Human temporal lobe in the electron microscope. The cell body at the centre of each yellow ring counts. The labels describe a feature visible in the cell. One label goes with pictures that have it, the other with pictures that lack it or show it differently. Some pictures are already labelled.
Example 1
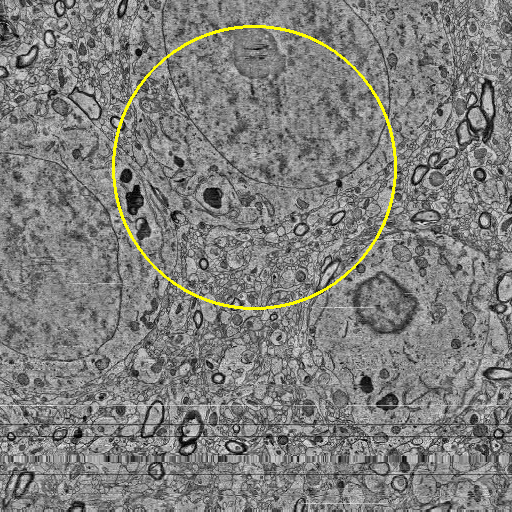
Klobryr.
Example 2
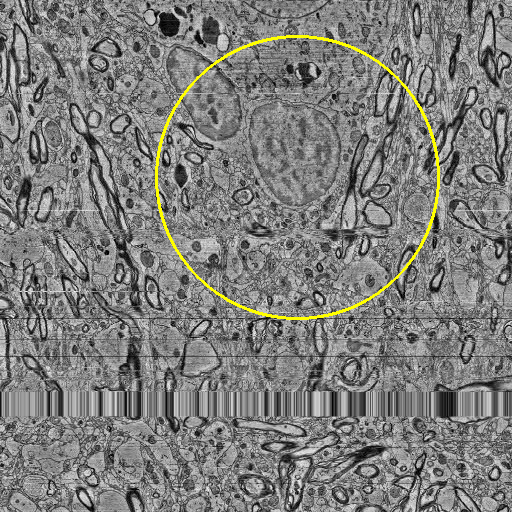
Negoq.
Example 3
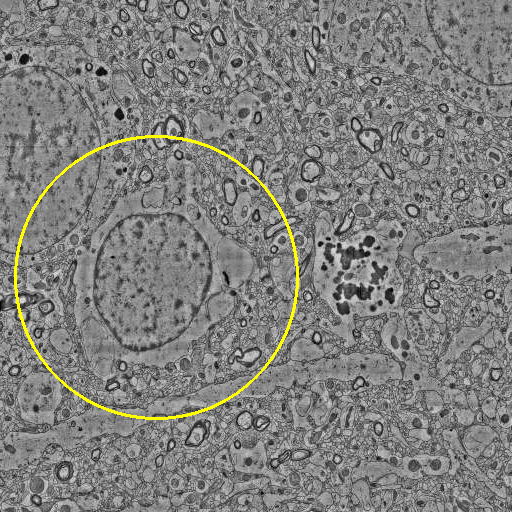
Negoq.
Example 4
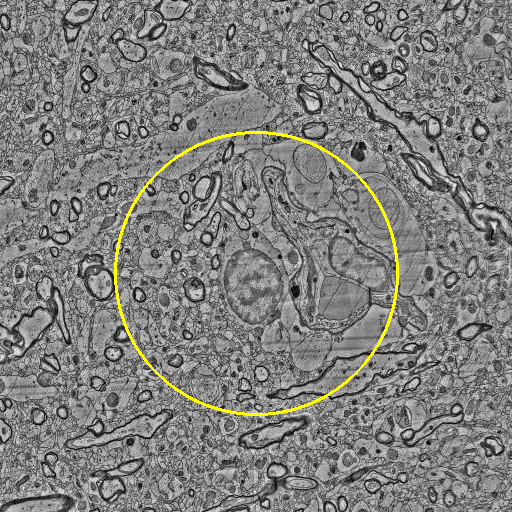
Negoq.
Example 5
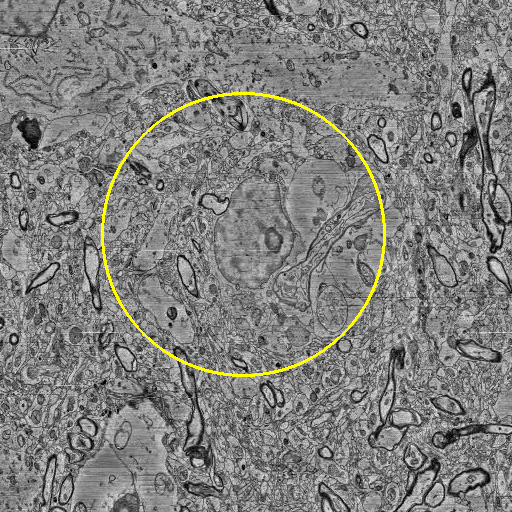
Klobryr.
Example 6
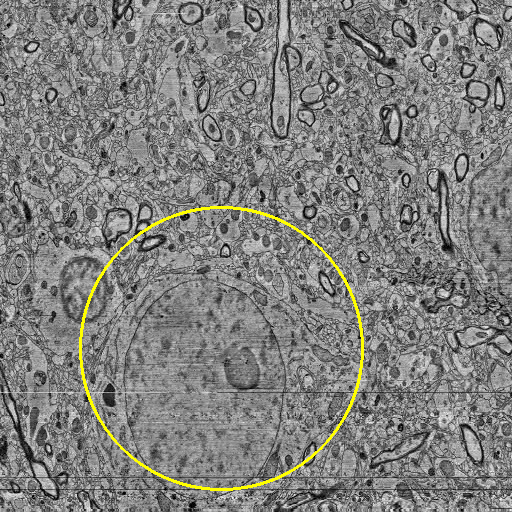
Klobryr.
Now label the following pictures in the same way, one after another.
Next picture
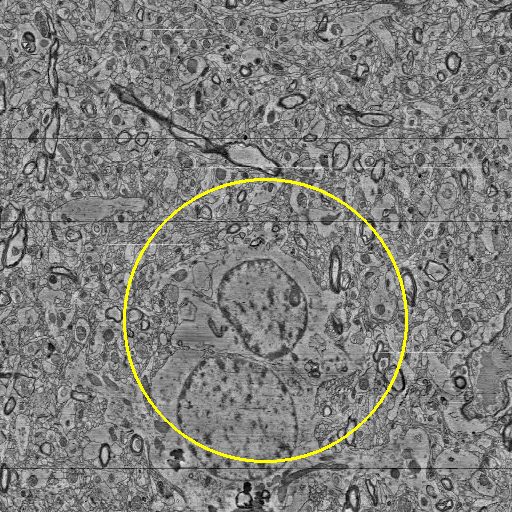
Klobryr.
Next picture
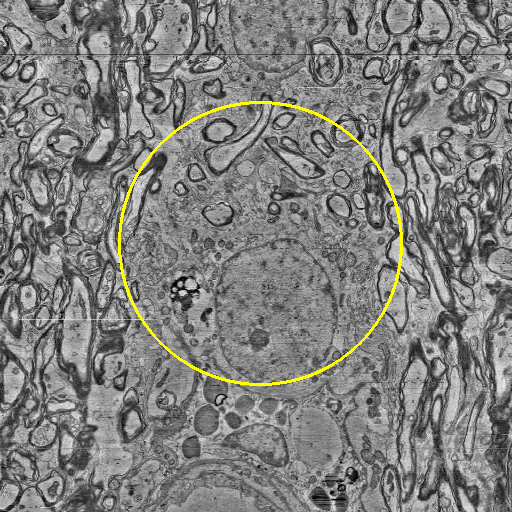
Klobryr.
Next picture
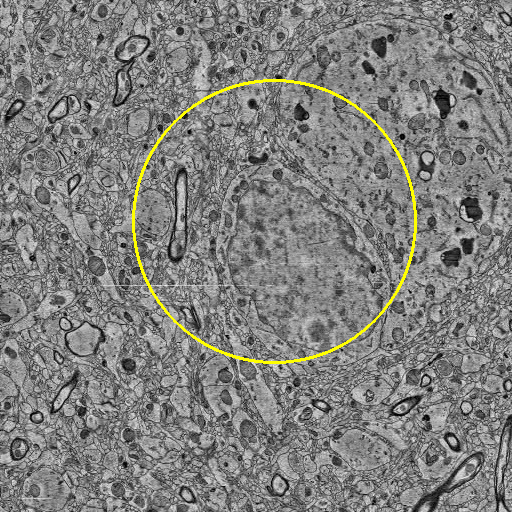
Negoq.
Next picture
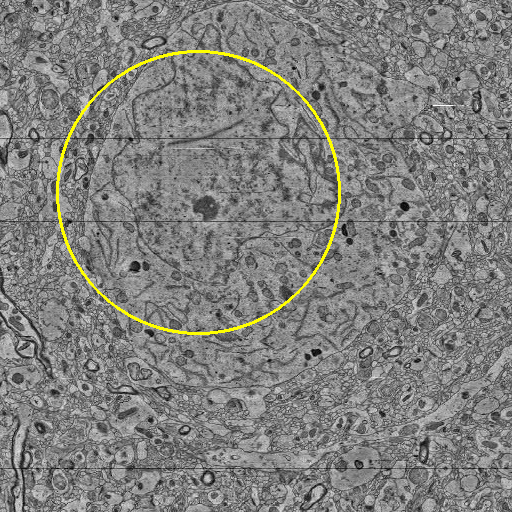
Klobryr.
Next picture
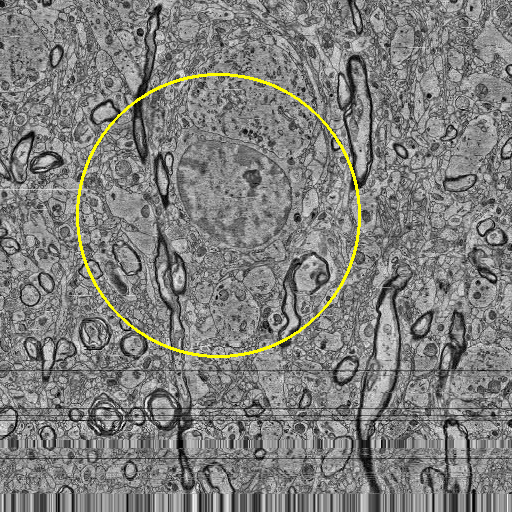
Klobryr.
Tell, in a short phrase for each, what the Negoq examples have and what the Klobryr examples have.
Seen in Negoq: no nucleolus seen; seen in Klobryr: nucleolus seen.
